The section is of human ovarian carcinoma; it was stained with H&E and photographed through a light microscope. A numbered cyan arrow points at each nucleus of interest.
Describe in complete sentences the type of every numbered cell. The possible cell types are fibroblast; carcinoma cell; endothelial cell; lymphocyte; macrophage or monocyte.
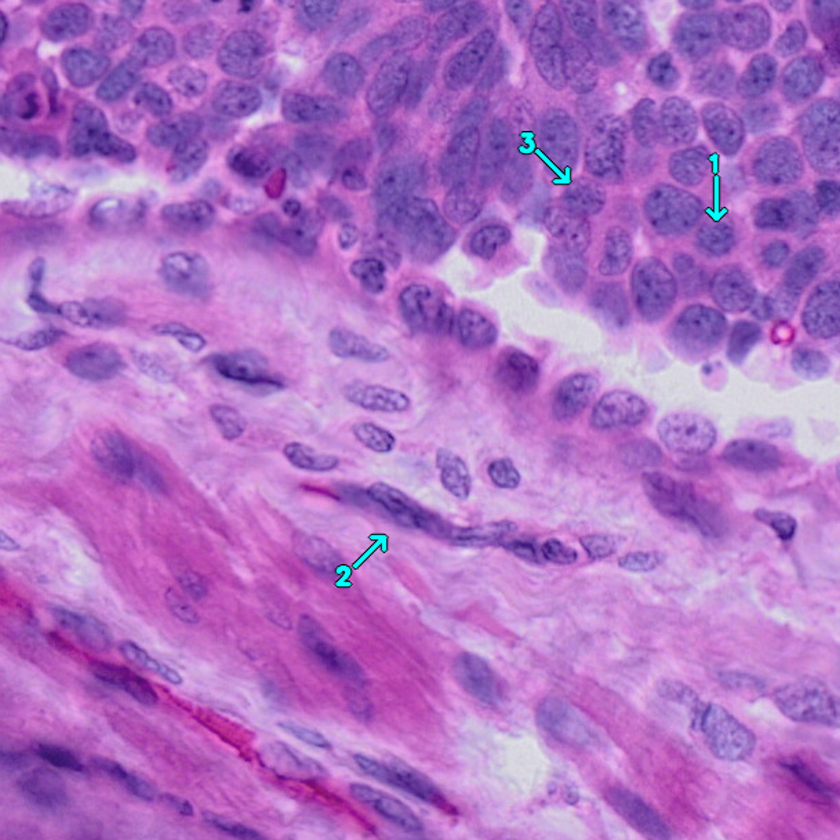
Cell 1 is a carcinoma cell, cell 2 is an endothelial cell and cell 3 is a carcinoma cell.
